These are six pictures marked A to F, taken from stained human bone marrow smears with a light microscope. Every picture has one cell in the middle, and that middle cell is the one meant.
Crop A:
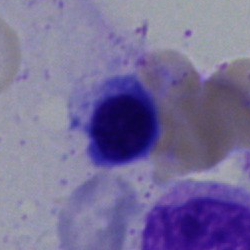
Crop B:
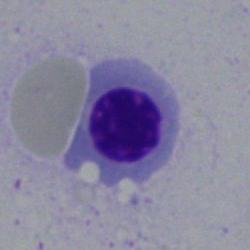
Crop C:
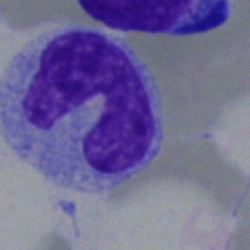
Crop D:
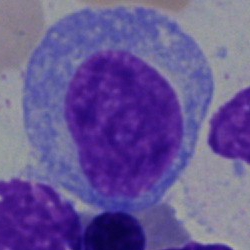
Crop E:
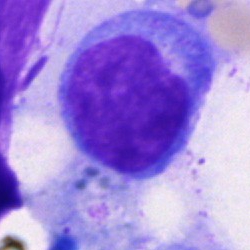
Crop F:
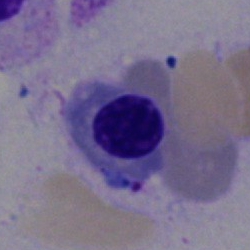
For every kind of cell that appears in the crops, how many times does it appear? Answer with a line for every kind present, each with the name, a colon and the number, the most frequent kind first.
erythroblast: 3
blast: 2
monocyte: 1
